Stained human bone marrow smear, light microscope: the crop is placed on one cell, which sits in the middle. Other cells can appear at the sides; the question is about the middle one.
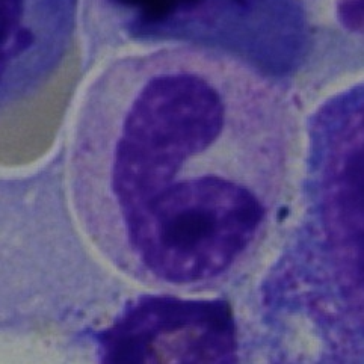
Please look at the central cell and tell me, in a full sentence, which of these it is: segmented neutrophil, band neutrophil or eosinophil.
Centred in the crop is a band neutrophil.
